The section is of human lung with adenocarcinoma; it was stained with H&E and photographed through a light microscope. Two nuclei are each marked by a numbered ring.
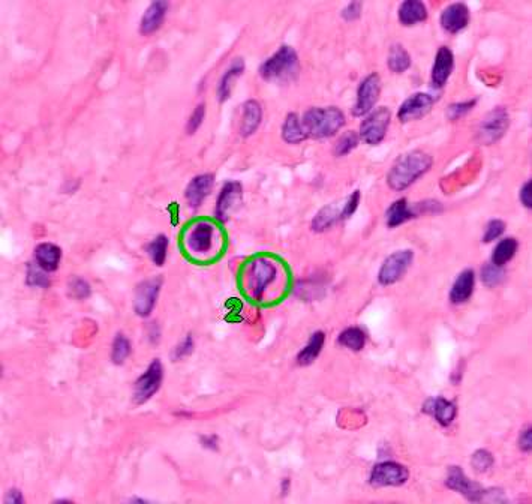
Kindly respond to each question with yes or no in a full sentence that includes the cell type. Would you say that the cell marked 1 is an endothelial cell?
No, the cell tagged 1 is a lymphocyte, and not an endothelial cell.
